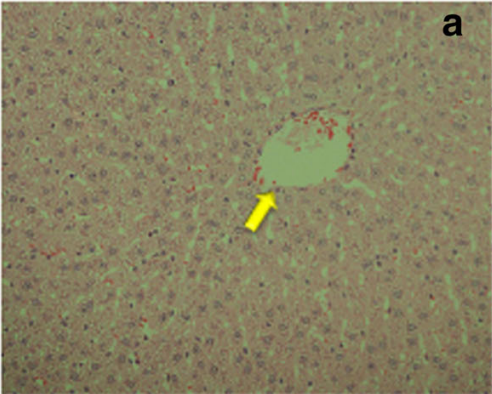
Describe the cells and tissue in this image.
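Liver tissue with hepatocytes arranged in cords around a central vein. The vein is a rounded lumen in the middle of the field with a few red blood cells at its margin. The cells are evenly spaced, their outlines can be followed, and no dense clusters of small dark nuclei or empty spaces disrupt the arrangement.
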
